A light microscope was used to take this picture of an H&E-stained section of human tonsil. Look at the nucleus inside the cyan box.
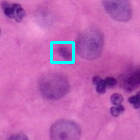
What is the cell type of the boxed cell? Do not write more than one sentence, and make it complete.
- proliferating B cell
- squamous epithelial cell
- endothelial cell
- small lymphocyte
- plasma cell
Within the stained tissue, the boxed cell is a squamous epithelial cell.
